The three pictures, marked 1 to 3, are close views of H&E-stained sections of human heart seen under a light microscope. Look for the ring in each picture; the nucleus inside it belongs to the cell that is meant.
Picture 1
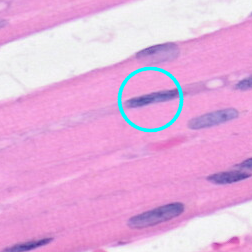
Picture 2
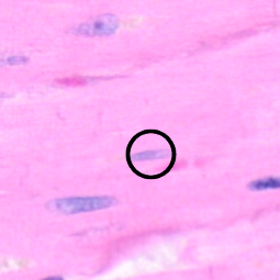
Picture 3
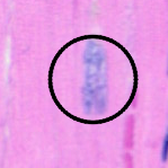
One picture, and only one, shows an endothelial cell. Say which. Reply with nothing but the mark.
1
